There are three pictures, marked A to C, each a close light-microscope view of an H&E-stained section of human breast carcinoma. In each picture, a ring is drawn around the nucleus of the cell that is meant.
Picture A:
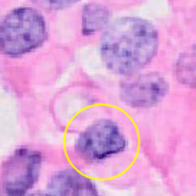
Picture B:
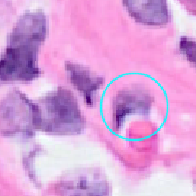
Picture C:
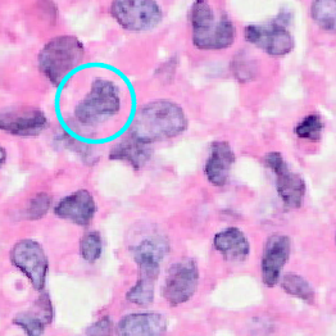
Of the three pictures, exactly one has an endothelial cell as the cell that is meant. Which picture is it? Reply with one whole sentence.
The endothelial cell is the one in picture B.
